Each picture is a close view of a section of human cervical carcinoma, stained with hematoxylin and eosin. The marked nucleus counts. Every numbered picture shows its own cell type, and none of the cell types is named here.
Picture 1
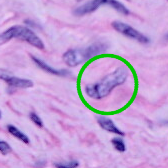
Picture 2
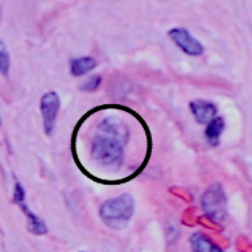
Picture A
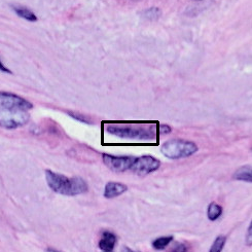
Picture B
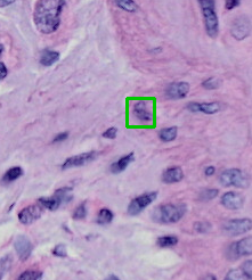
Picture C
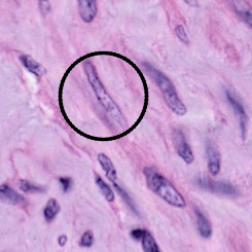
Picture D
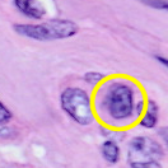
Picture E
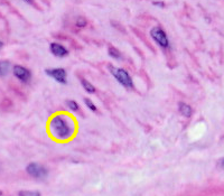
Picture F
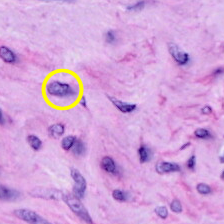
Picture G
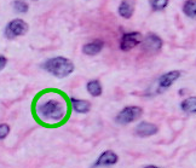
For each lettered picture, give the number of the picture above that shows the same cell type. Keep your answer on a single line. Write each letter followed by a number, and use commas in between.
A 2, B 1, C 1, D 2, E 1, F 1, G 1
